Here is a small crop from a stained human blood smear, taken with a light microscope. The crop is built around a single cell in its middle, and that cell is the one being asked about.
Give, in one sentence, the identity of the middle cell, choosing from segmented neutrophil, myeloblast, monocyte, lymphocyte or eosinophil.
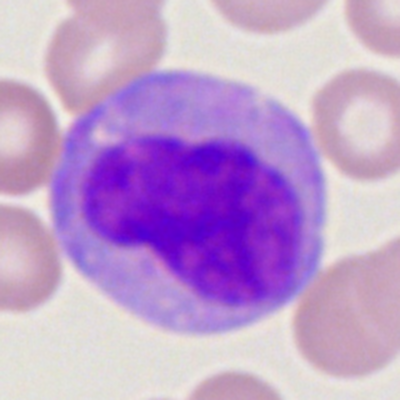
The target cell in the middle of the crop is a monocyte.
